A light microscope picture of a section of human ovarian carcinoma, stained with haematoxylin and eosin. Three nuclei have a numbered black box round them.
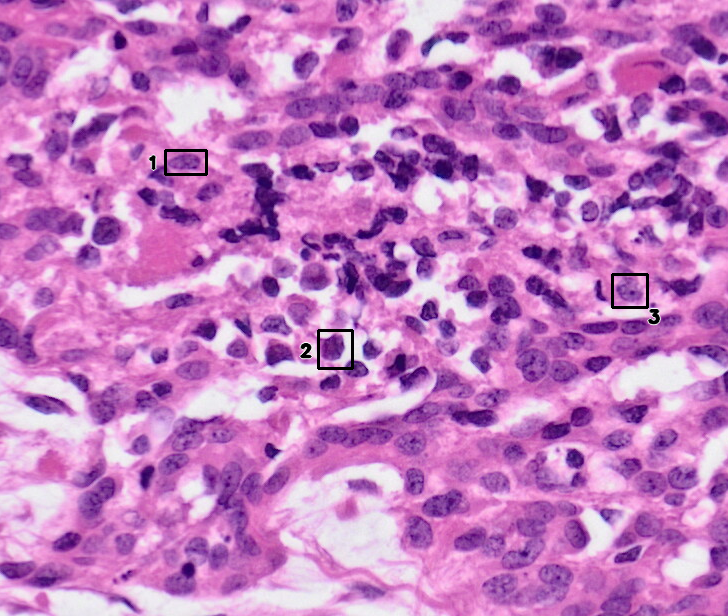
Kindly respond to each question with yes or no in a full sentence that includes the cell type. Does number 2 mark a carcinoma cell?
Yes, that one, number 2, is a carcinoma cell.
